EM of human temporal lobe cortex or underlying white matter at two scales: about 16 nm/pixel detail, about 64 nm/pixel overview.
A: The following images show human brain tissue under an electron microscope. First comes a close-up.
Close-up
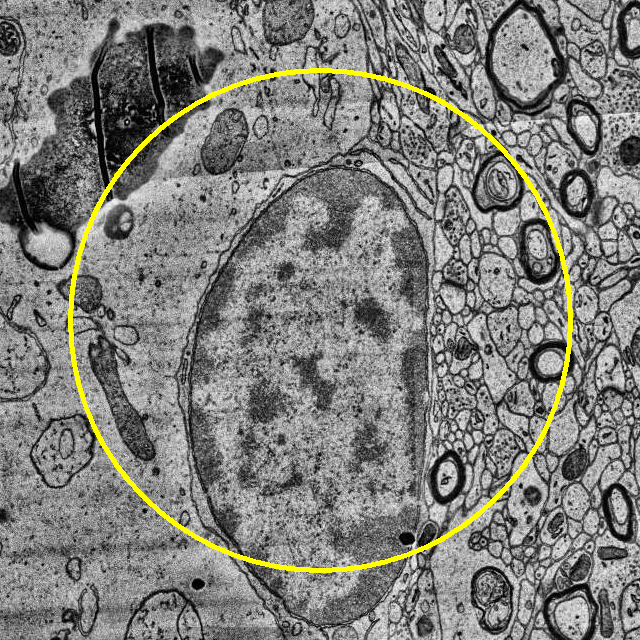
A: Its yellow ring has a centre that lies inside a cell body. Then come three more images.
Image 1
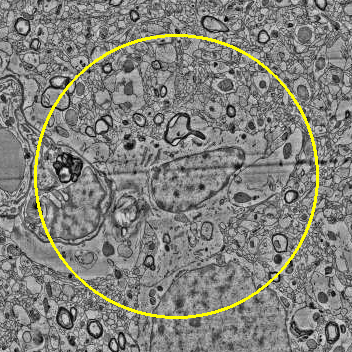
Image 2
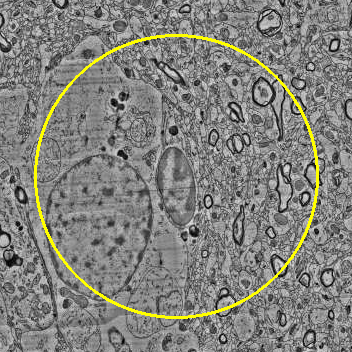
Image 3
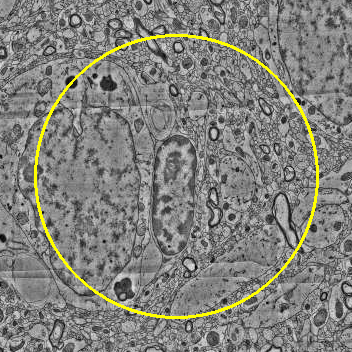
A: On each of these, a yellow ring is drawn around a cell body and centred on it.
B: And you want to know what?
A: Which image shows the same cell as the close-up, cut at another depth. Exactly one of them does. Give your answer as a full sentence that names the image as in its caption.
The close-up presents the same cell outlined by the ring in Image 2.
